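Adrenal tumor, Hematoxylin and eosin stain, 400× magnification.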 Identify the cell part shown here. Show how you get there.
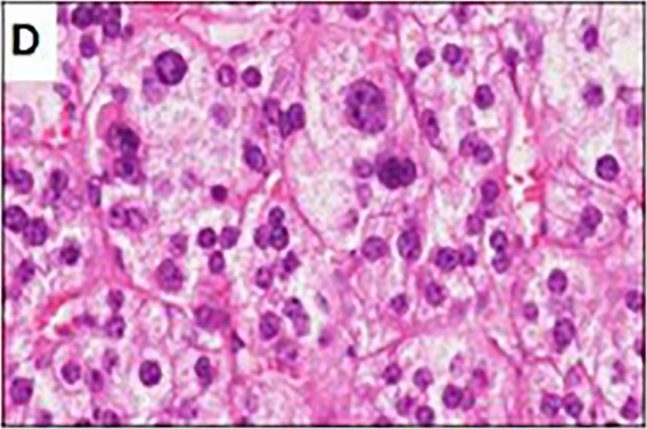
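Cells have wide, pale, finely vacuolated cytoplasm. On this evidence: abundant foamy cytoplasm.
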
